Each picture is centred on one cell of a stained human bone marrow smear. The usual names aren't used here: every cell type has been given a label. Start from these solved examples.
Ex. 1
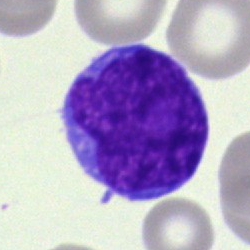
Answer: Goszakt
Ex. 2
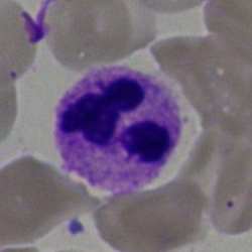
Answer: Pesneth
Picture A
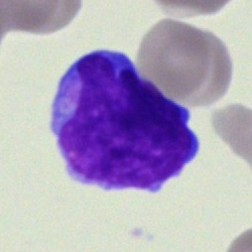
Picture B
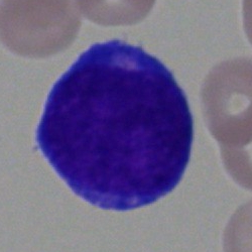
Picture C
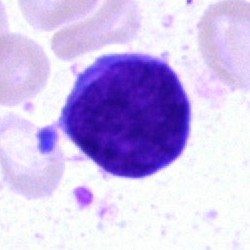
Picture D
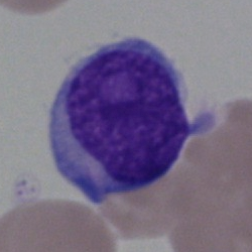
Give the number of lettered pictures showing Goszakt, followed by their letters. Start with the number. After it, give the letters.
4, namely A, B, C, D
